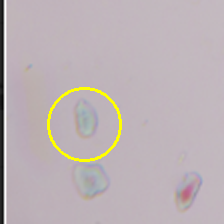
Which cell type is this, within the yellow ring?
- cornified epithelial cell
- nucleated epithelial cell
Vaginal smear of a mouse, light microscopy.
Within the ring is a cornified epithelial cell.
